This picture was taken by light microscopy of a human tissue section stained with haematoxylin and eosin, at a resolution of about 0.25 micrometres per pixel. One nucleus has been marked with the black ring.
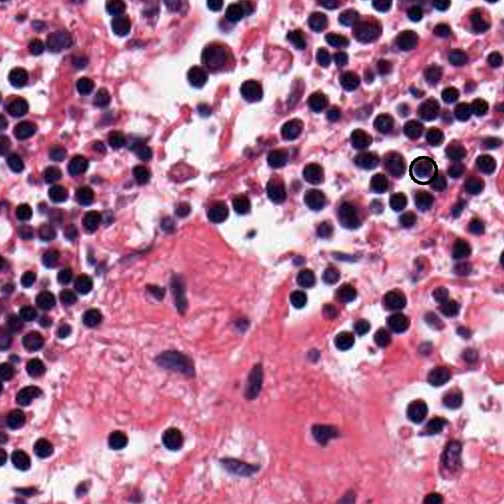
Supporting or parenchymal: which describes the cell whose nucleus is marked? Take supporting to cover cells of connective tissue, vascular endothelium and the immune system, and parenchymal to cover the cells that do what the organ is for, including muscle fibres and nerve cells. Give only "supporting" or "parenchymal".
supporting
